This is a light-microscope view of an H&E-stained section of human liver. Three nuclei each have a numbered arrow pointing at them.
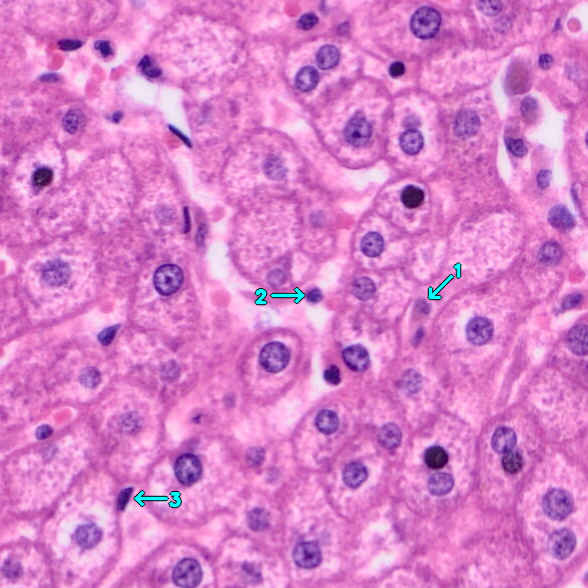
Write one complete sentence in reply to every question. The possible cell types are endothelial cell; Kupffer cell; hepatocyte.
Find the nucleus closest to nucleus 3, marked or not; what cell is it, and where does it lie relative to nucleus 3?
Lying below and to the left of nucleus 3, the nearest nucleus is that of a hepatocyte.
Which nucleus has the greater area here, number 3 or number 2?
Nucleus 3 is the larger one, covering about 1.5 times the area of nucleus 2.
